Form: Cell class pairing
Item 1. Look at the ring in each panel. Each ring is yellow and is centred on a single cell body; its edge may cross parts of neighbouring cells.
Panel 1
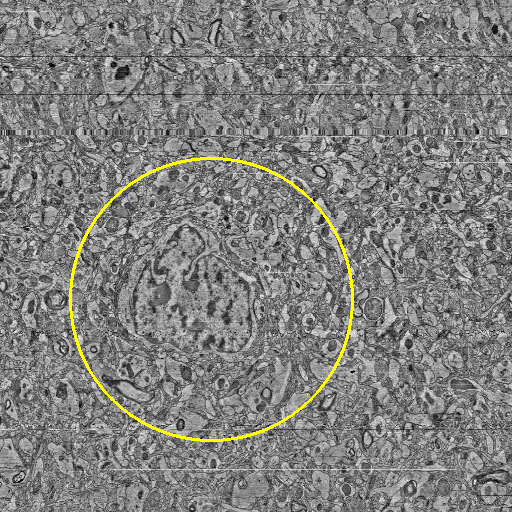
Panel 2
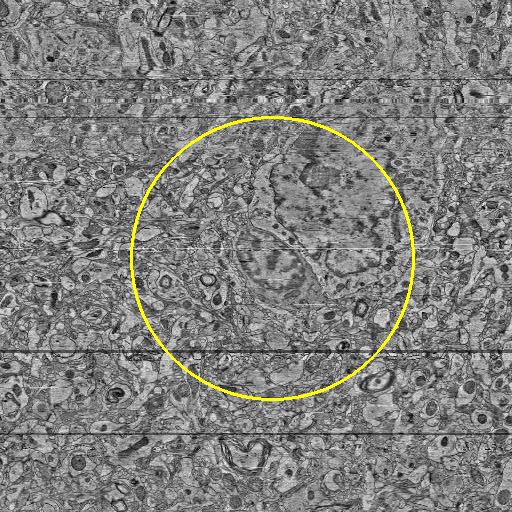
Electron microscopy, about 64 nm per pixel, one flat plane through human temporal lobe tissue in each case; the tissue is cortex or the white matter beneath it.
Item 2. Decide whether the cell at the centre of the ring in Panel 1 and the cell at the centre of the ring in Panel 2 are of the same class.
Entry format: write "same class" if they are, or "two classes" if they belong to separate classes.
two classes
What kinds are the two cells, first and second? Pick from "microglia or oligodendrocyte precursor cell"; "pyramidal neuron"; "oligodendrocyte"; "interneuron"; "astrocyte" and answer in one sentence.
The second picture holds an oligodendrocyte in its ring, and the first holds a microglial cell or oligodendrocyte precursor cell.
